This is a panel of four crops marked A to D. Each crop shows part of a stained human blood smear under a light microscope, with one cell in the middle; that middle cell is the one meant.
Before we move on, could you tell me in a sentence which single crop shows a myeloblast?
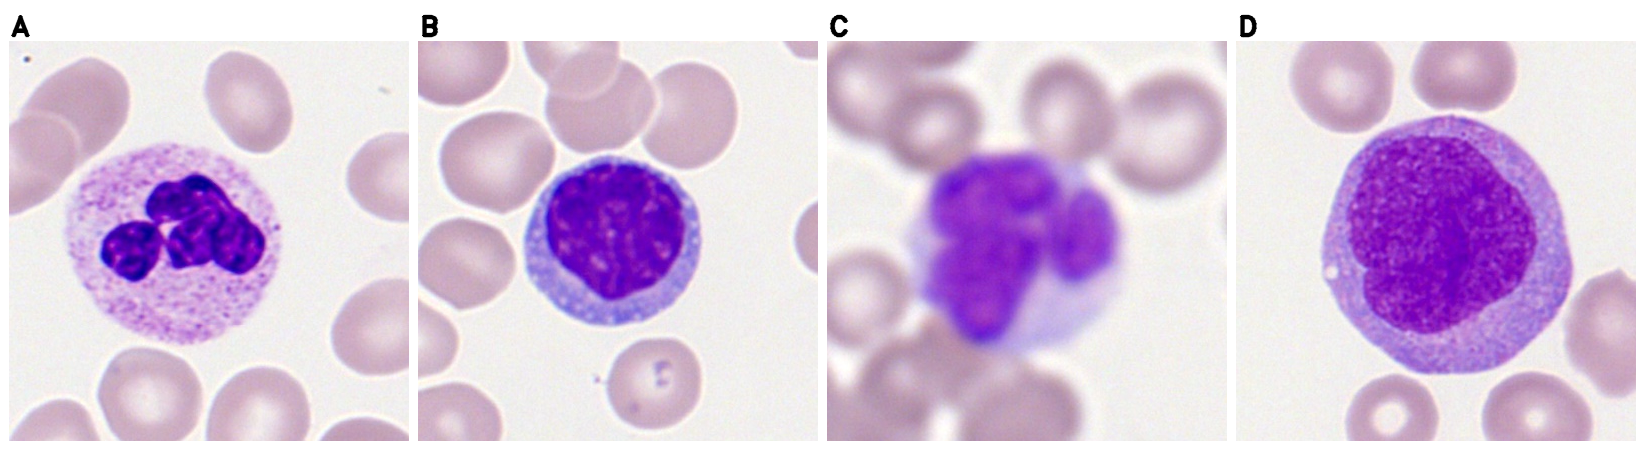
Crop D, and no other, is the one that shows a myeloblast.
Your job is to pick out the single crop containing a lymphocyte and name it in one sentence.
Crop B is the crop containing a lymphocyte.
